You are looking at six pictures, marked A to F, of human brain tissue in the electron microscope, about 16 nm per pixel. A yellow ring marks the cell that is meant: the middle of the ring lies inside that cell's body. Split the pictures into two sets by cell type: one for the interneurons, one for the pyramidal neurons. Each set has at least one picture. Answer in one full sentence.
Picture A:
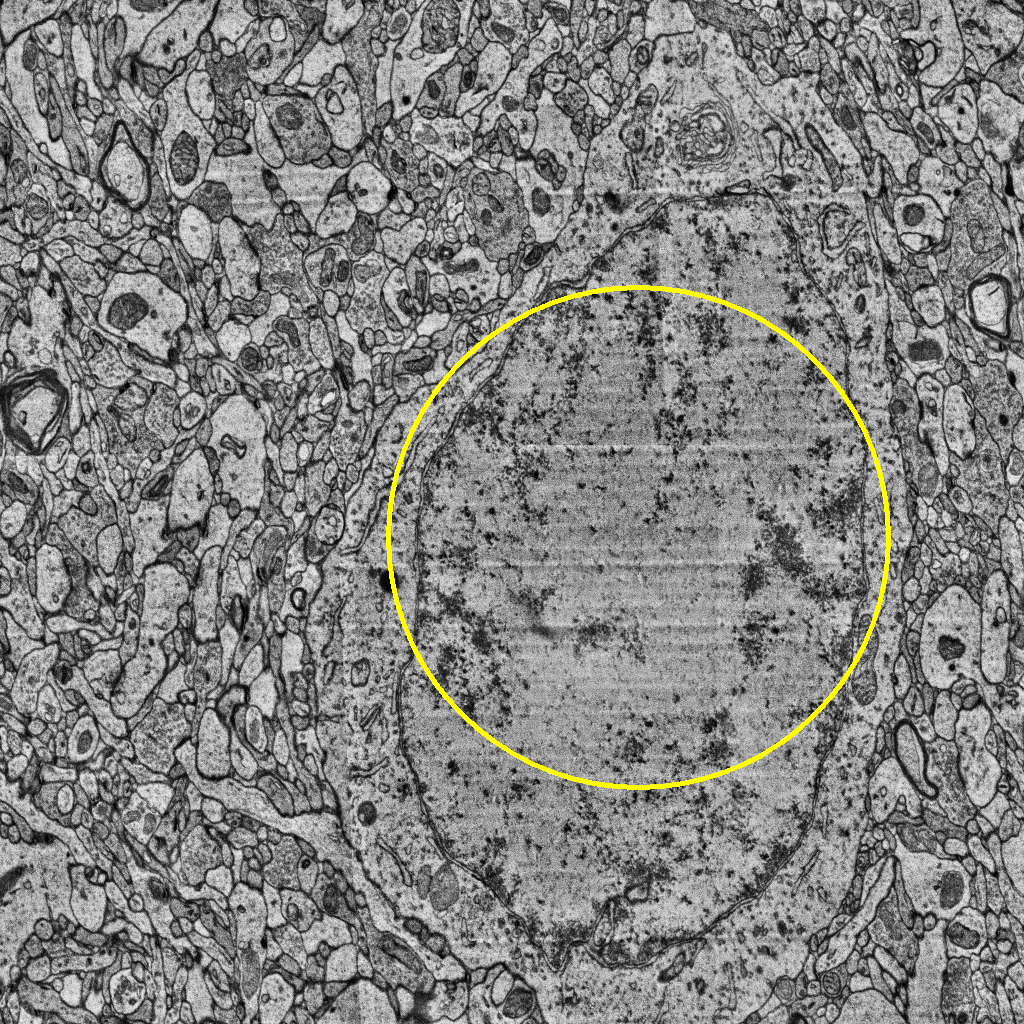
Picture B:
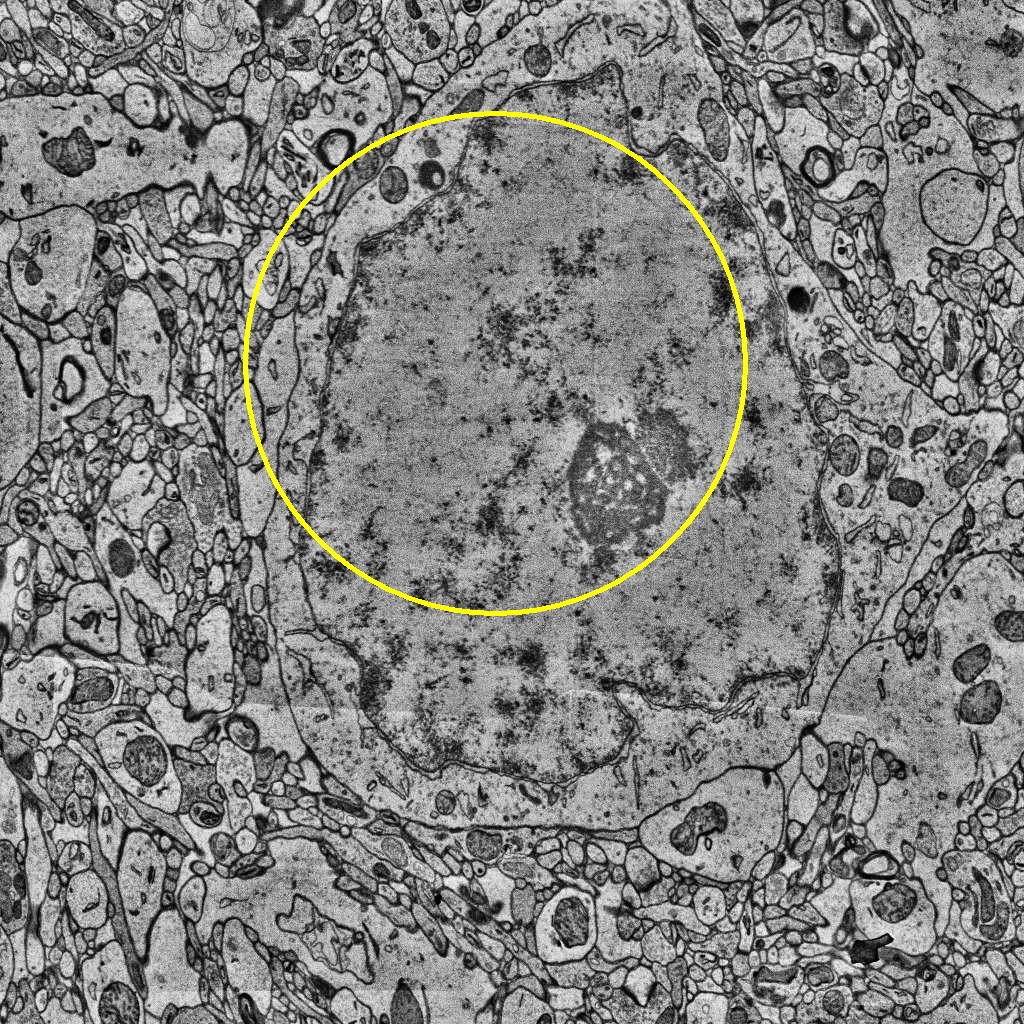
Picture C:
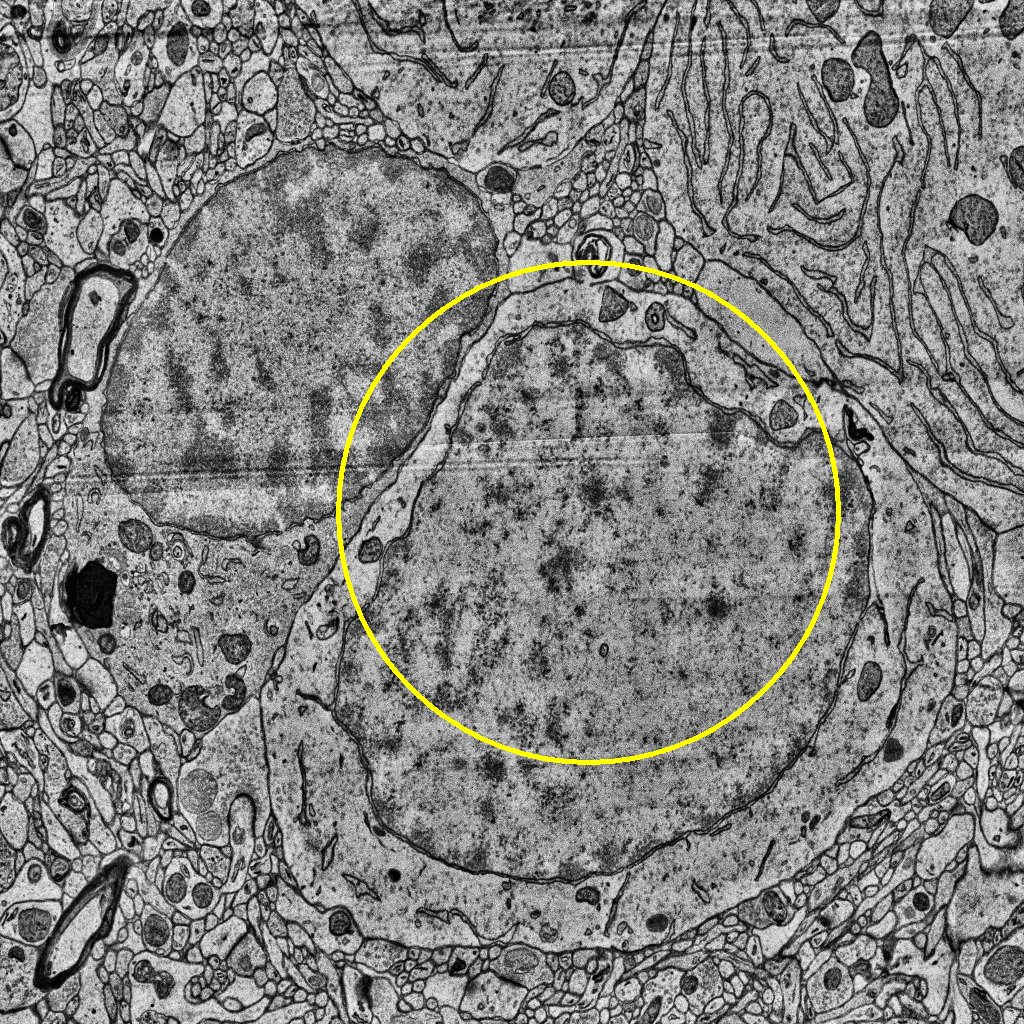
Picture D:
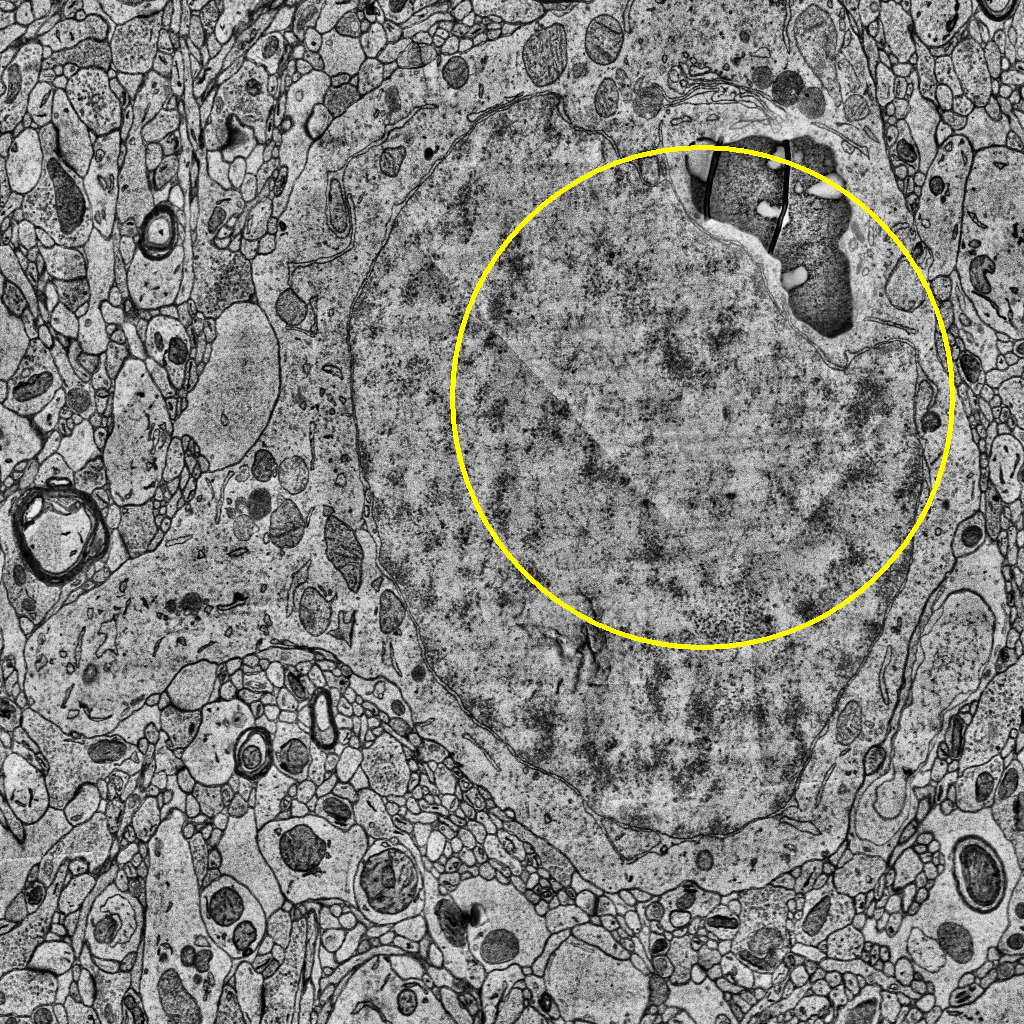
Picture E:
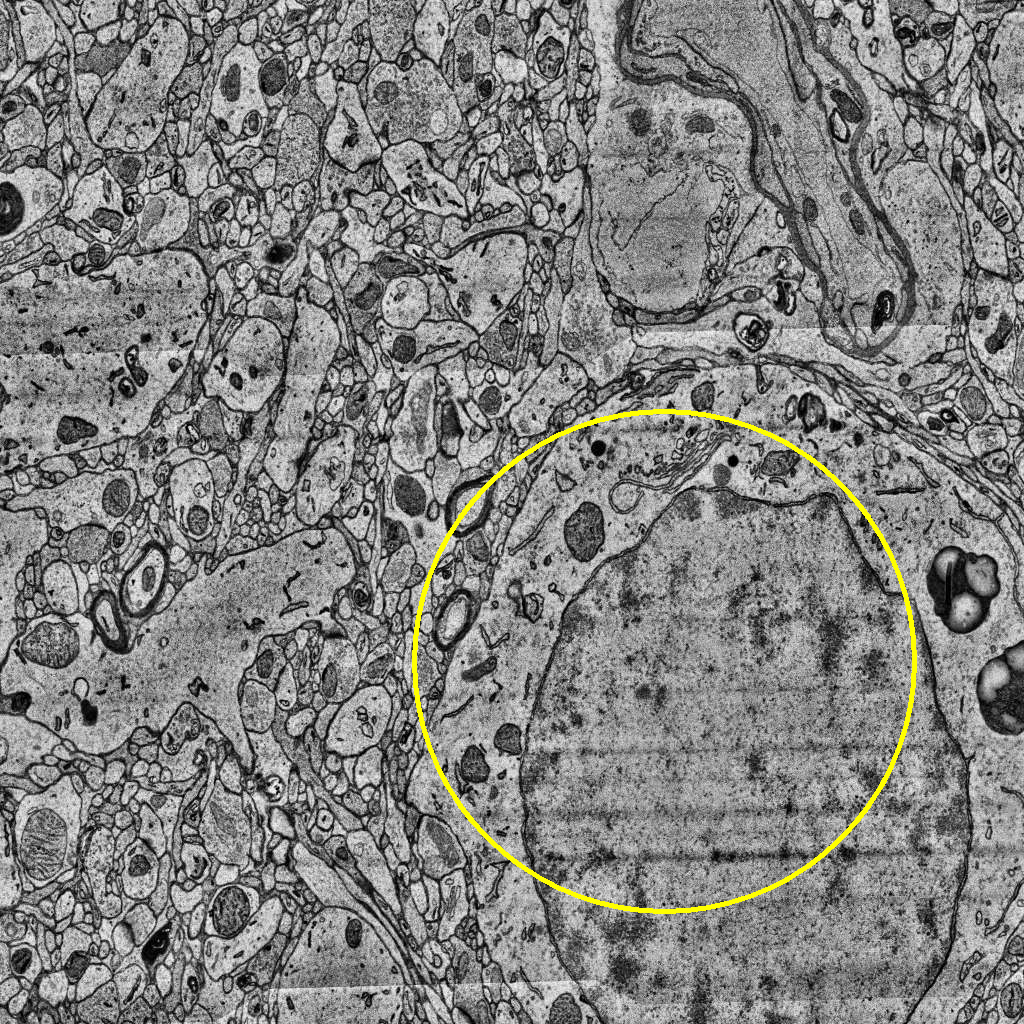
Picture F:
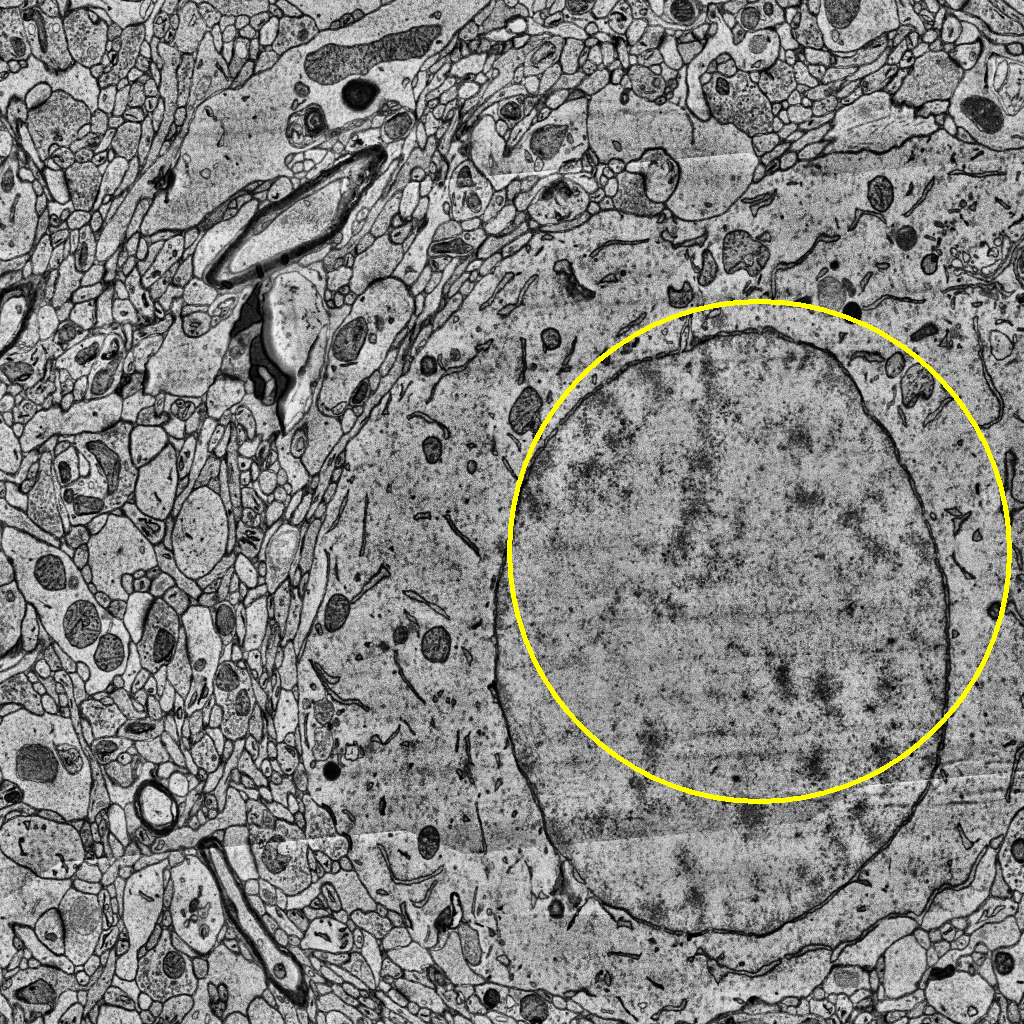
Pictures A, B, C and D show interneurons, and pictures E and F show pyramidal neurons.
